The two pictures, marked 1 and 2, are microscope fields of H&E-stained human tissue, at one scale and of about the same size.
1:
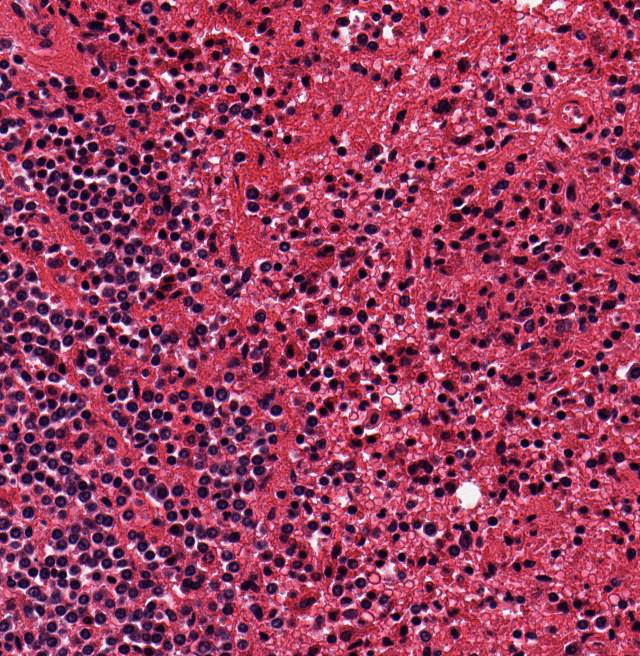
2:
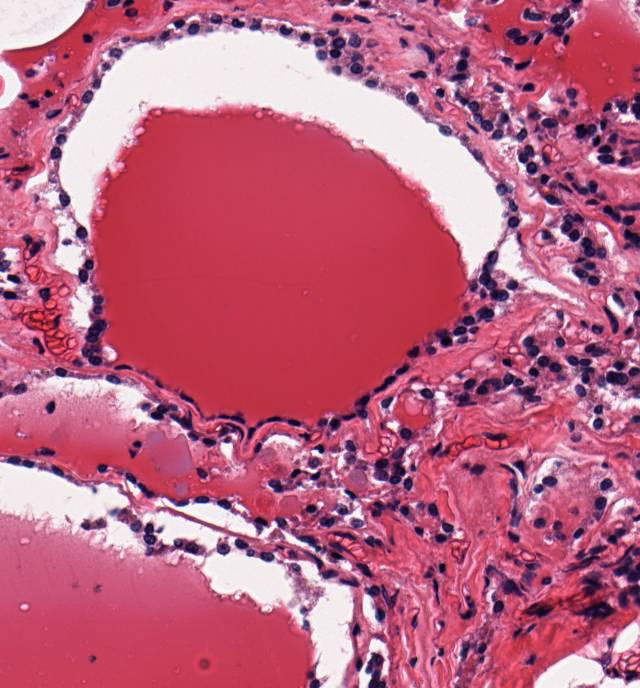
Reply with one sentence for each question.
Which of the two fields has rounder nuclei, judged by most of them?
On the whole the nuclei of field 1 are rounder than those of field 2.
